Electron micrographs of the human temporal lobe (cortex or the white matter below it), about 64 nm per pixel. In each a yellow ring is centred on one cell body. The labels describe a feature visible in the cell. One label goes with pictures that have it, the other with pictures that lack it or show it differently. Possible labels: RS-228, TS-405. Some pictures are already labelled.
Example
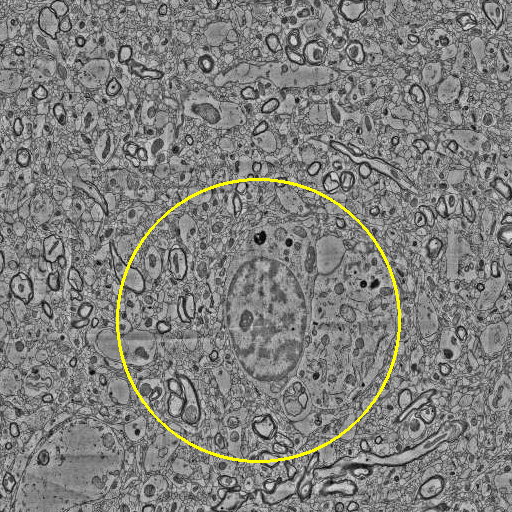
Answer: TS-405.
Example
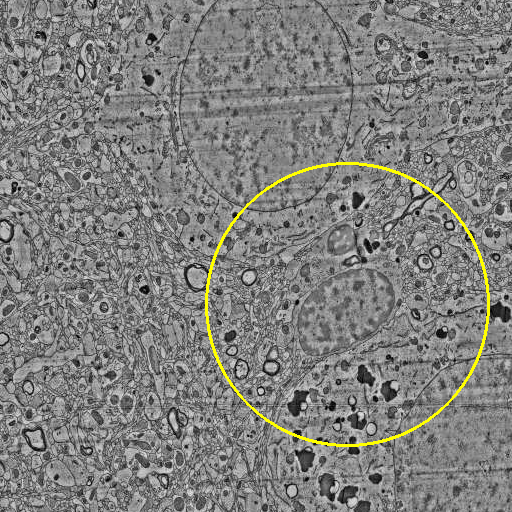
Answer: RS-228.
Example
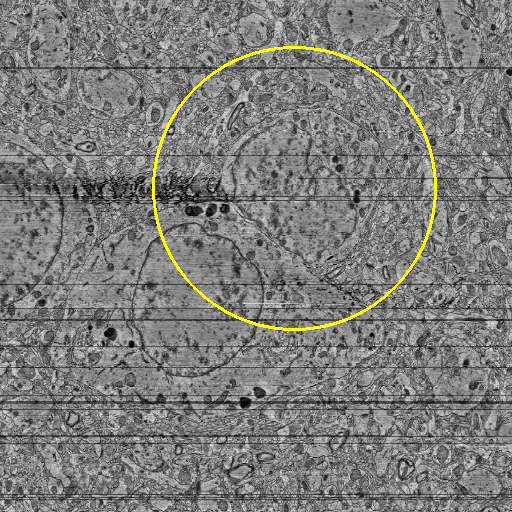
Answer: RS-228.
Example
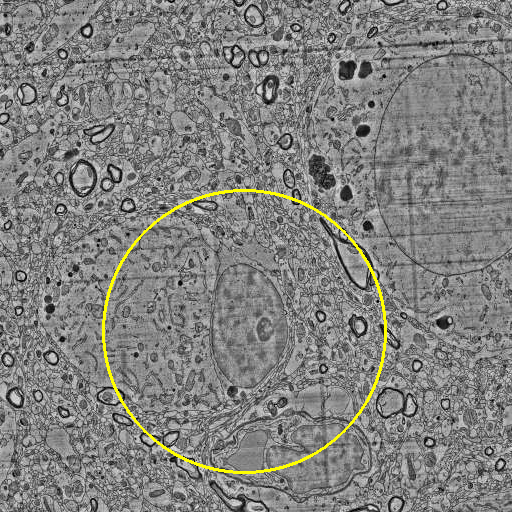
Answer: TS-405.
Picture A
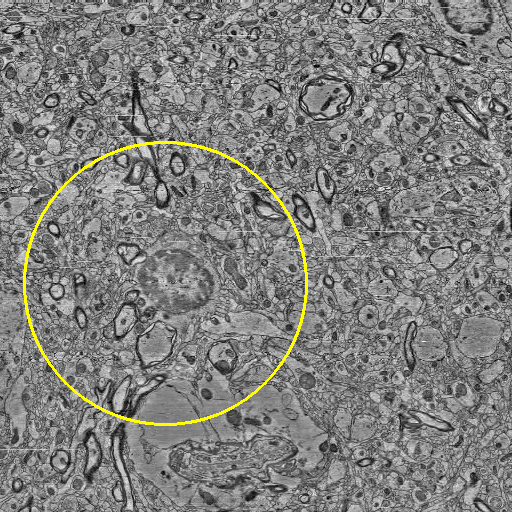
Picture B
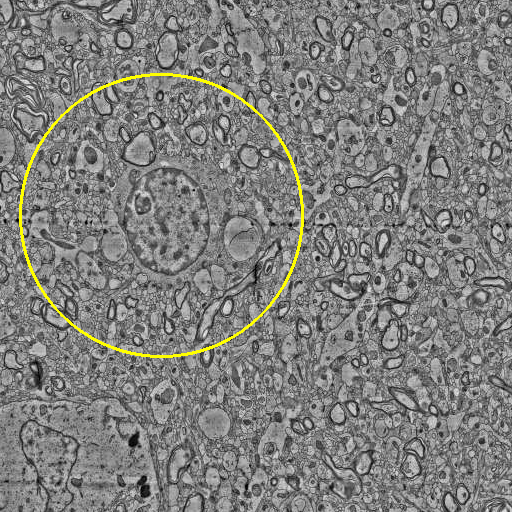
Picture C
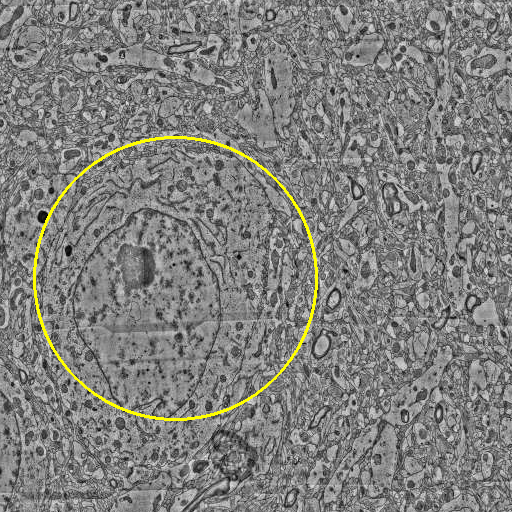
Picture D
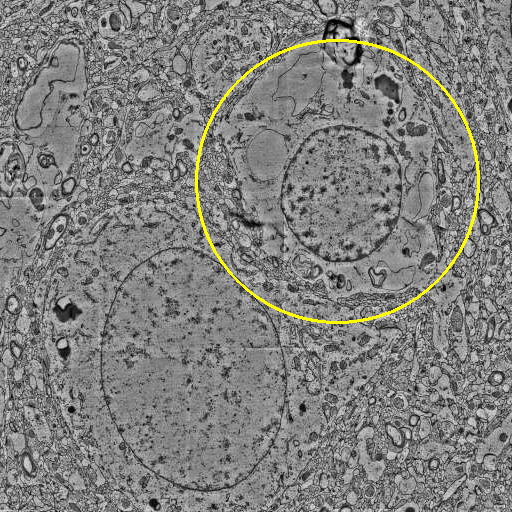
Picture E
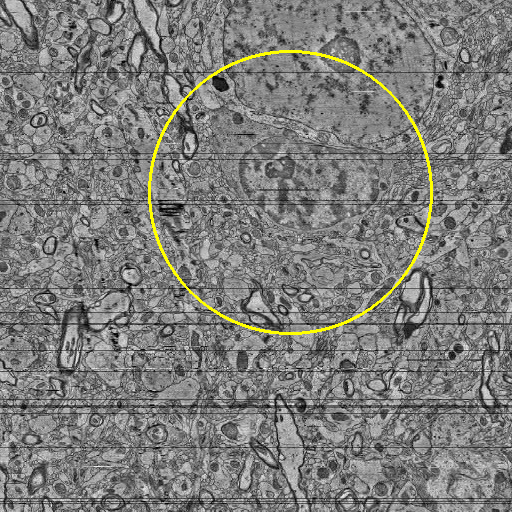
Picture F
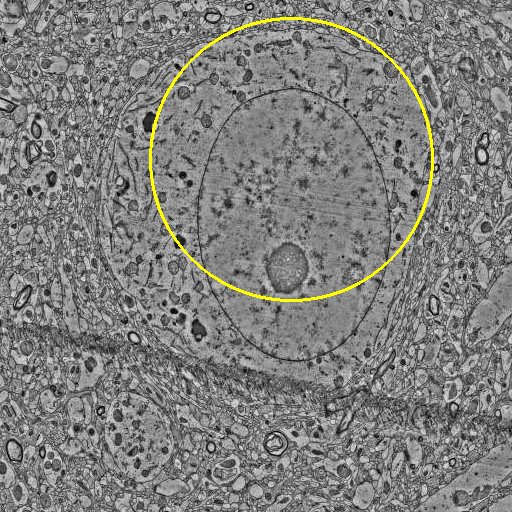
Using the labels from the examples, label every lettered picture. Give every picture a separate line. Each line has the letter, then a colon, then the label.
A: RS-228.
B: TS-405.
C: TS-405.
D: RS-228.
E: TS-405.
F: TS-405.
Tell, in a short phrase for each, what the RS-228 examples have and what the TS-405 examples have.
RS-228, no nucleolus seen; TS-405, nucleolus seen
